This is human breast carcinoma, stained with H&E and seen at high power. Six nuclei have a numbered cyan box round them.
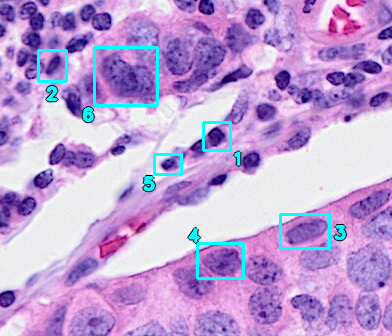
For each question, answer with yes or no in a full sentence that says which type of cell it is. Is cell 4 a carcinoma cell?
Yes, number 4 is assigned to a cell that is a carcinoma cell.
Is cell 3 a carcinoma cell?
Yes, a carcinoma cell is what the cell numbered 3 is.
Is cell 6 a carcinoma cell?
Yes, cell number 6 is identified here as a carcinoma cell.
